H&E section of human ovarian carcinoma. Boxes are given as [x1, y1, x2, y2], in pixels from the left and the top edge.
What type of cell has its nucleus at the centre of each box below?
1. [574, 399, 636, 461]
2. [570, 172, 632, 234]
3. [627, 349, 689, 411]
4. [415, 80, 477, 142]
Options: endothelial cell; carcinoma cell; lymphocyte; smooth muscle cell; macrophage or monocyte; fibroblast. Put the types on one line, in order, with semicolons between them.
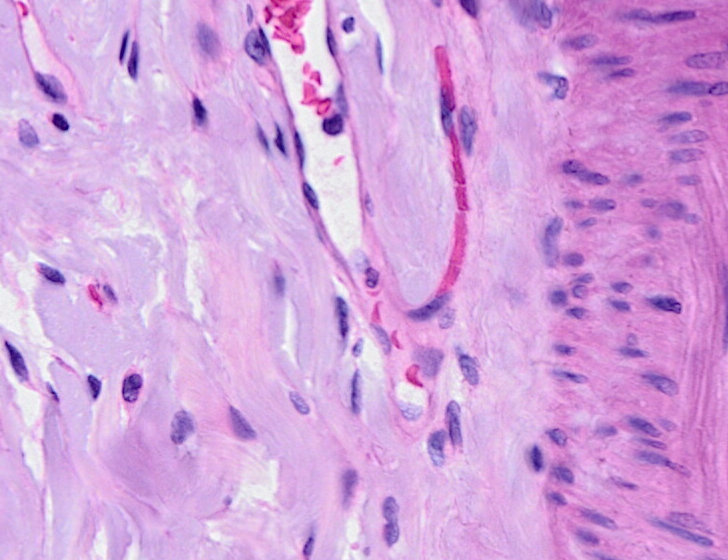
smooth muscle cell; smooth muscle cell; smooth muscle cell; endothelial cell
